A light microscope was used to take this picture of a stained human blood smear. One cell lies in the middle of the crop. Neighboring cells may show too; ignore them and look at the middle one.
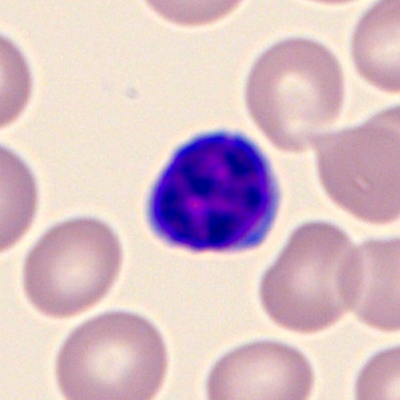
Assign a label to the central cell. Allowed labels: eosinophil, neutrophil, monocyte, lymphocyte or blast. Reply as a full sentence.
The cell occupying the middle of the crop is a lymphocyte.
